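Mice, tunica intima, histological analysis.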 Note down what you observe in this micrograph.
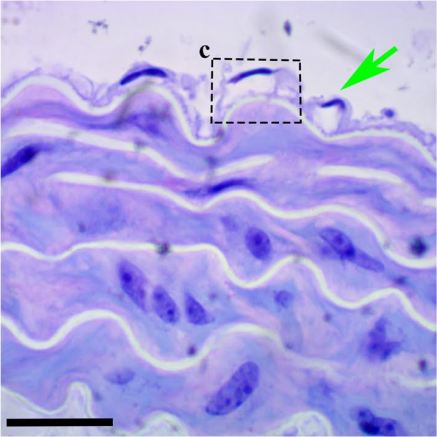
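Vessel wall with pale wavy elastic laminae alternating with layers holding elongated to oval dark blue nuclei. On the luminal surface, endothelial cells with dark, flat, elongated nuclei are partly lifted away from the innermost lamina, leaving clear spaces beneath them.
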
